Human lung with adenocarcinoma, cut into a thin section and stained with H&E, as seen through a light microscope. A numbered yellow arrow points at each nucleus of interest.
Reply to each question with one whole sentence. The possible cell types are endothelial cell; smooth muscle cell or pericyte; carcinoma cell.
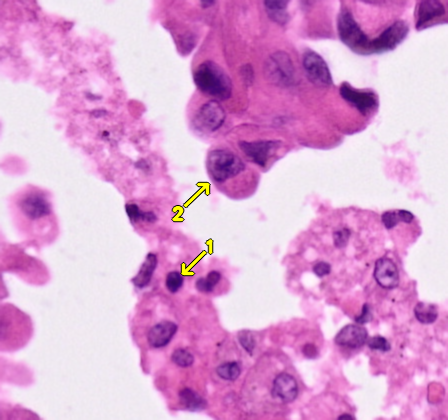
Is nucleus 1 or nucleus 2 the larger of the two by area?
It is nucleus 2, which covers about 3 times the area of nucleus 1.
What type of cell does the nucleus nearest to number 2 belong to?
The nearest nucleus to number 2 belongs to a carcinoma cell.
